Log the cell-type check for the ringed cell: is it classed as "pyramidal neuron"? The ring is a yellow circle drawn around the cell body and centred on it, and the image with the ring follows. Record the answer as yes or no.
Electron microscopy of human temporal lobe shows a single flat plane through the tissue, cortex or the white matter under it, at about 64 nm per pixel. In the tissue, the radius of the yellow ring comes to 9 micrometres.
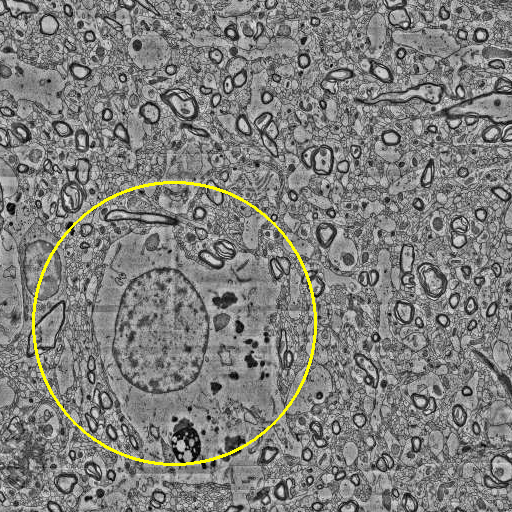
No, it is classed as another type.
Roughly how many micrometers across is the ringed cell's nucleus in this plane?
About 8 by 6 micrometres in this plane.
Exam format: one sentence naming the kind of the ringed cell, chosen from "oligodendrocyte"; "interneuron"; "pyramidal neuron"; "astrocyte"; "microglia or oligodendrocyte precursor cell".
The cell shown in the ring is an astrocyte.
